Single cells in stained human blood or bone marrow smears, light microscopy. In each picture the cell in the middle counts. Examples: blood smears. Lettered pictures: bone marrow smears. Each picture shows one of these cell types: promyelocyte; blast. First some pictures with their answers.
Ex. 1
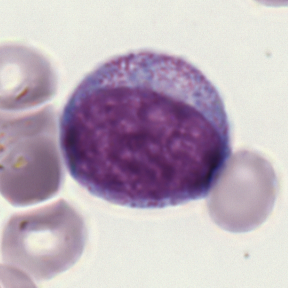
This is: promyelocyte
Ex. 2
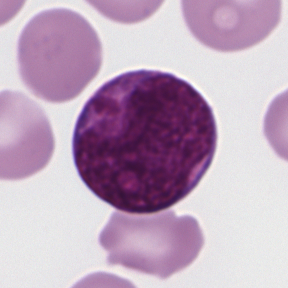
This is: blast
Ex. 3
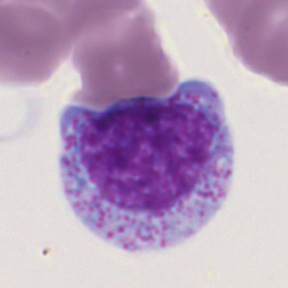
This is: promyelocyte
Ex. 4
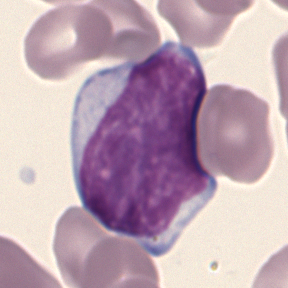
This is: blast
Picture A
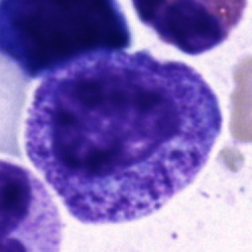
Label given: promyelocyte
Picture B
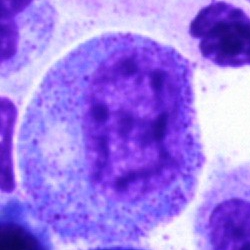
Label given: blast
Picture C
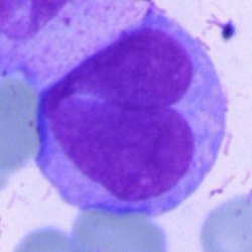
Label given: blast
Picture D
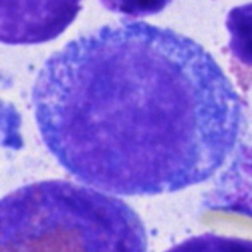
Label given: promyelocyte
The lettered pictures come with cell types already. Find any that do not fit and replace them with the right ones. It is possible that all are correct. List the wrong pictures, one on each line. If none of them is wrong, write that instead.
B is labelled blast; correct label: promyelocyte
